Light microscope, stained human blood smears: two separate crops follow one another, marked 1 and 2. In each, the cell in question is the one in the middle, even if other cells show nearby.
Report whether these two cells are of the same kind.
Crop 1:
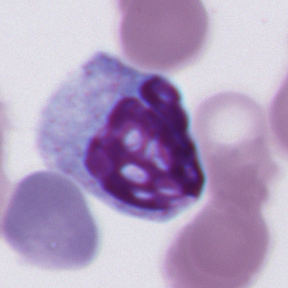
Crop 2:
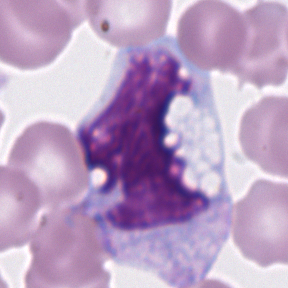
yes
